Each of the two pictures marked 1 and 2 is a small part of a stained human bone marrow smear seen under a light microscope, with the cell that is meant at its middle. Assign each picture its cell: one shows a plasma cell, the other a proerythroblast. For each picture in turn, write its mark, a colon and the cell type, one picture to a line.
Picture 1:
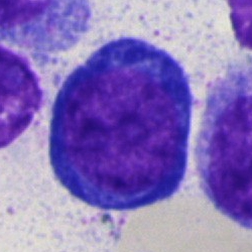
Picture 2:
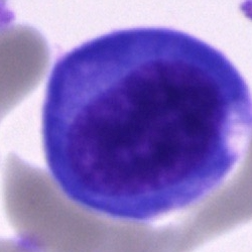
1: proerythroblast
2: plasma cell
